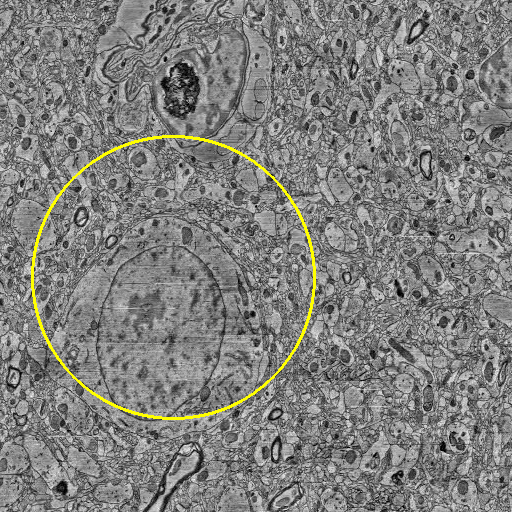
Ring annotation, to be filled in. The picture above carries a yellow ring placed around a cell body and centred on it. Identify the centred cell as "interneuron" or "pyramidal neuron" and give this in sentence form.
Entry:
The cell in the middle of the ring is a pyramidal neuron.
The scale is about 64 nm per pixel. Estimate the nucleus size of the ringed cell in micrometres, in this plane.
Roughly 12 by 8 micrometres in this plane, for the nucleus of the ringed cell.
